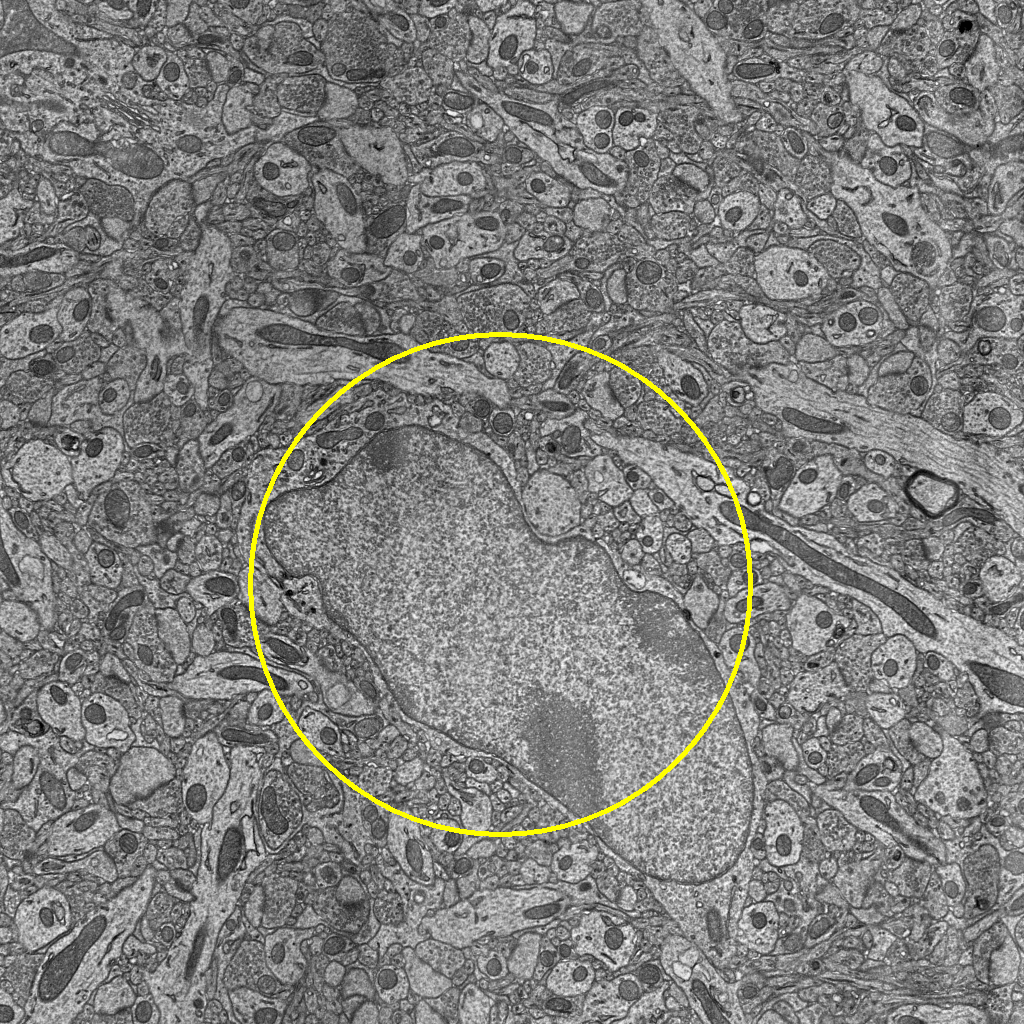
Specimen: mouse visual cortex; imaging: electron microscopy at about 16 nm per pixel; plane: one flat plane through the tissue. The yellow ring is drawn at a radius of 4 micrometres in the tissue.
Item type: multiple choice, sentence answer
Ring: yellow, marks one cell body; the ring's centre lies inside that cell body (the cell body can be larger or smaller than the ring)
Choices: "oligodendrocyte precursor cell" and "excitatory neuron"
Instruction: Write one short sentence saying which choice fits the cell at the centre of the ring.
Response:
The centre of this ring lies on an oligodendrocyte precursor cell.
